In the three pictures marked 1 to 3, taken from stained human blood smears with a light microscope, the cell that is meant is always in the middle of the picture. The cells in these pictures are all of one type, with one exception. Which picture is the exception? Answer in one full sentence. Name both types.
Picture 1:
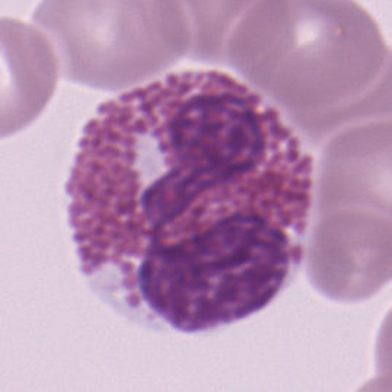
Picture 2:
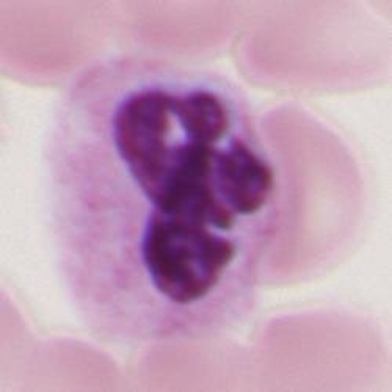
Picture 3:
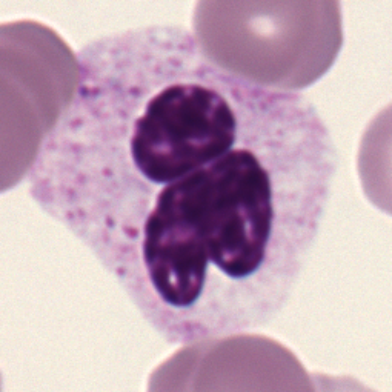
Picture 1 is the odd one out: it shows an eosinophil, while the others show segmented neutrophils.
